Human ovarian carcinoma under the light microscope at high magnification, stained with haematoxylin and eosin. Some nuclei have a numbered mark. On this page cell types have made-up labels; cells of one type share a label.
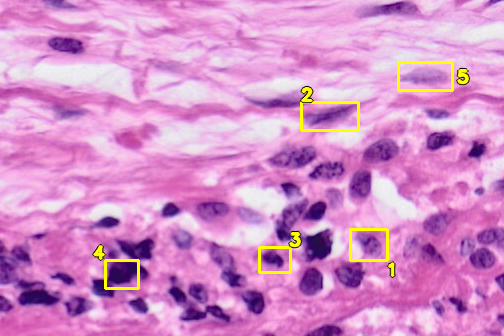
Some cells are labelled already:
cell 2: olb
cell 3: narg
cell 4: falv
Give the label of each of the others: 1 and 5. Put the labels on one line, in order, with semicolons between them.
narg; olb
